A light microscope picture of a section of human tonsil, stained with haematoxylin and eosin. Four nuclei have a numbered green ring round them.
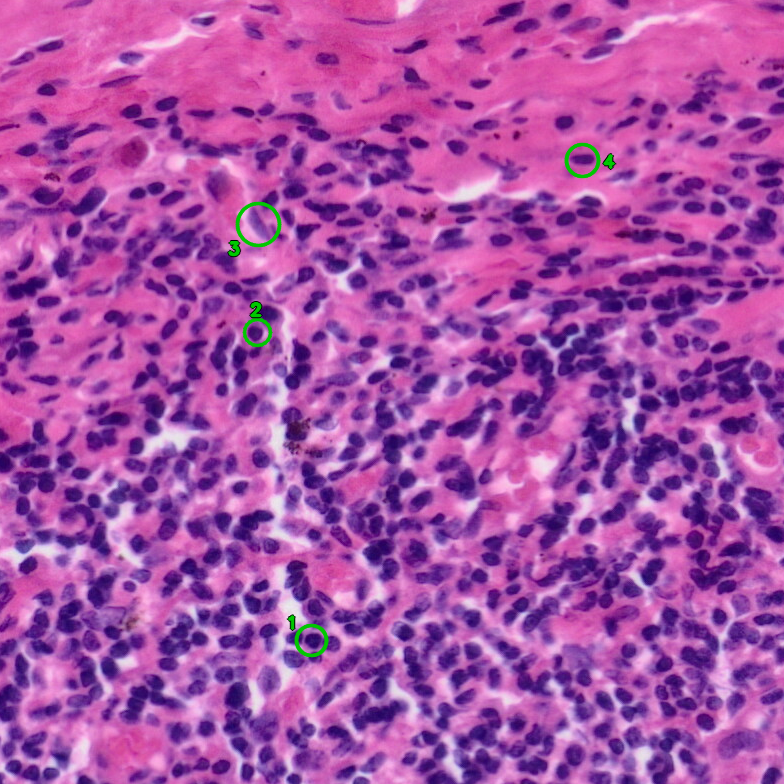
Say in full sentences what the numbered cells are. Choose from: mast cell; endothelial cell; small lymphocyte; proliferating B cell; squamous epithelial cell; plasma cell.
Cell 1 is a small lymphocyte. Cell 2 is a plasma cell. Cell 3 is an endothelial cell. Cell 4 is a mast cell.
